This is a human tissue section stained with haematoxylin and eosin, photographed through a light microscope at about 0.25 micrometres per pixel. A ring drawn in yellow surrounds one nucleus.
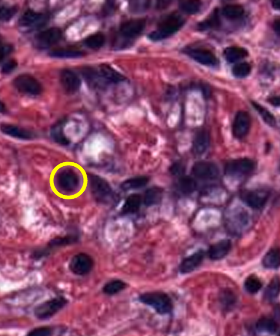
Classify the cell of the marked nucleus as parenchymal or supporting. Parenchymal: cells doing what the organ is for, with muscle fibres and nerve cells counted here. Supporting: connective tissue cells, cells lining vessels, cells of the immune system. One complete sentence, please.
The marked nucleus is found in a parenchymal cell, namely a parietal cell.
